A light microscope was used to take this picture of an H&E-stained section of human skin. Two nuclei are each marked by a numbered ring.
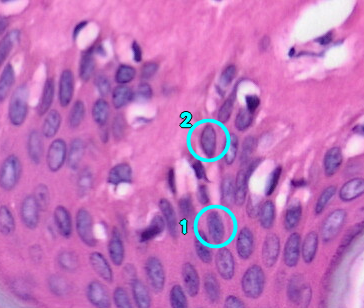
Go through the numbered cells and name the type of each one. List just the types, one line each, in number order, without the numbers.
suprabasal keratinocyte
basal keratinocyte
